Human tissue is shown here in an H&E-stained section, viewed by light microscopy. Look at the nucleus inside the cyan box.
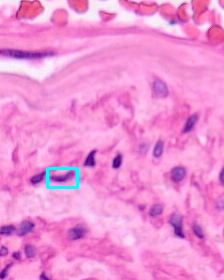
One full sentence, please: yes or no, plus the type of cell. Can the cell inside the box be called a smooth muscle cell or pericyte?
Yes, what the cell inside the box represents in this tissue is a smooth muscle cell or pericyte.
